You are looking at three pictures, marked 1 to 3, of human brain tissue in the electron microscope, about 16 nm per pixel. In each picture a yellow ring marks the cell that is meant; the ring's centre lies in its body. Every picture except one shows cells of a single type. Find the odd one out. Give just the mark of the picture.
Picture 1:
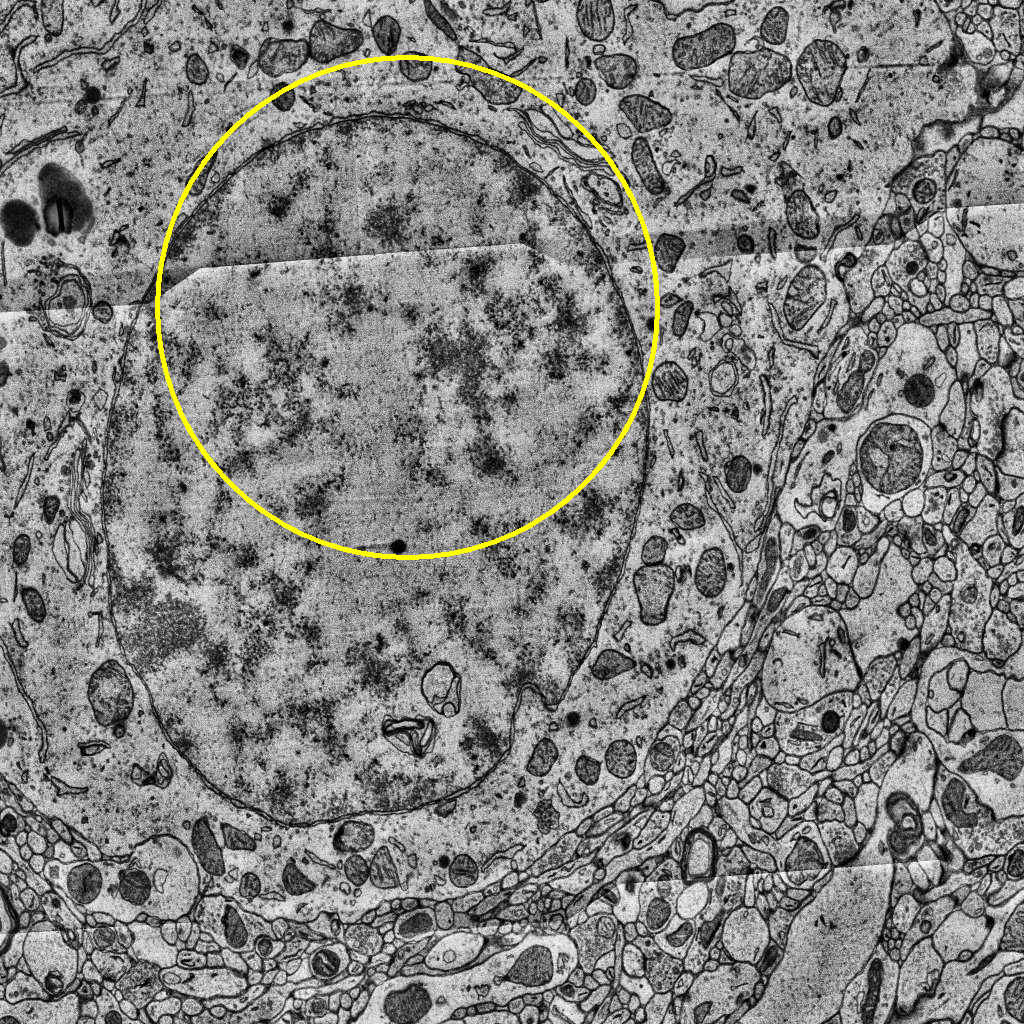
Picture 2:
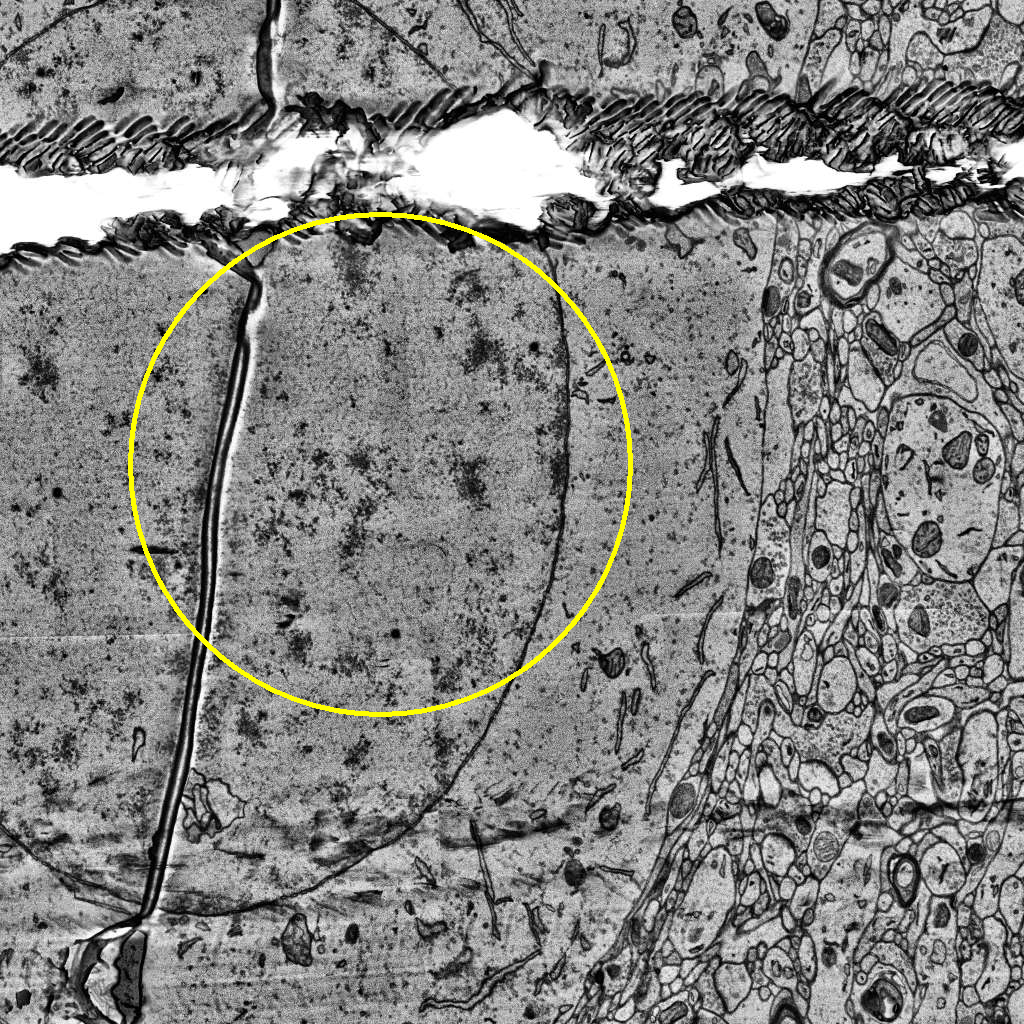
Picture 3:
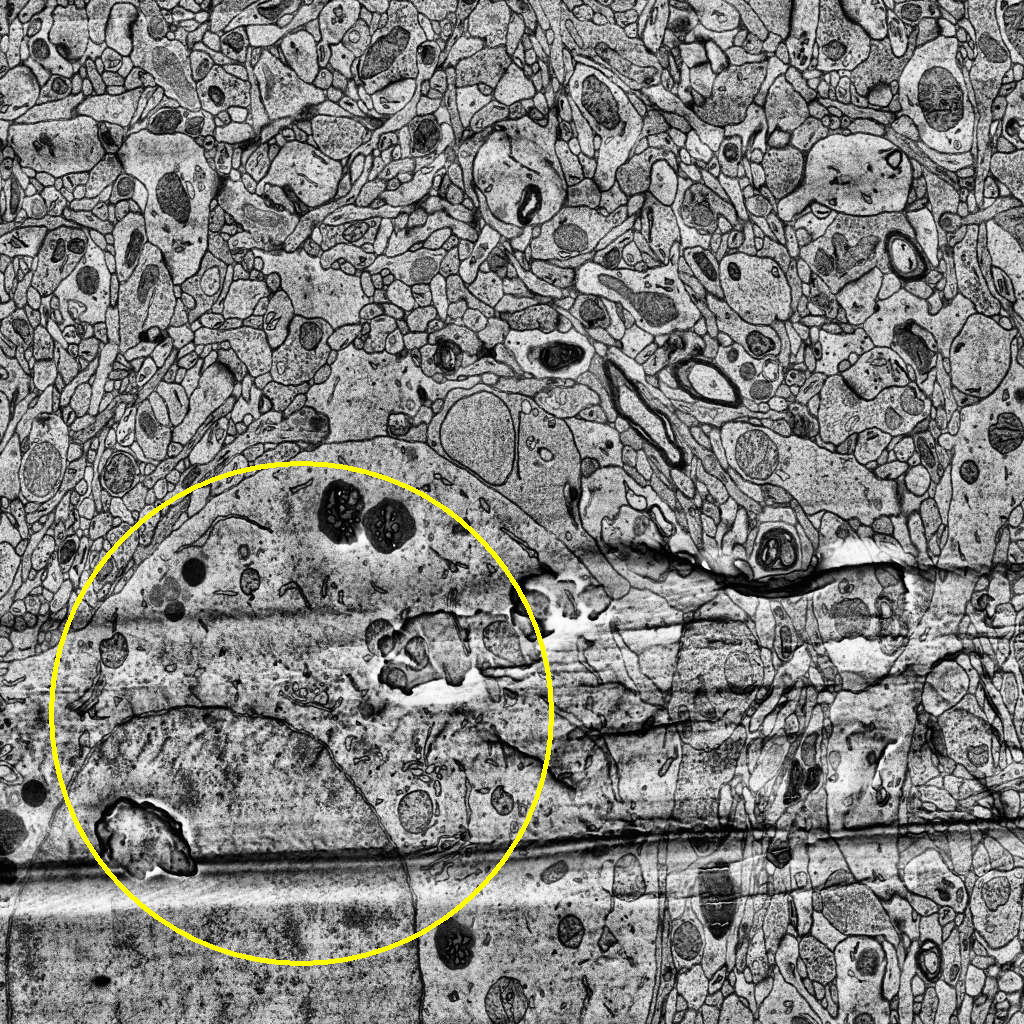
1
